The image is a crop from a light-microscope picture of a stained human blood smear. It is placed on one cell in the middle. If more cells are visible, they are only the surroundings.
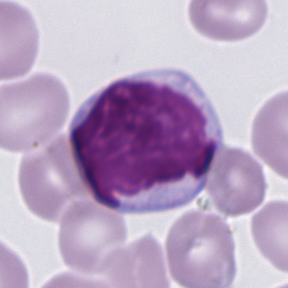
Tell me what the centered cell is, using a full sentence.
The cell in the exact centre of the crop is a large granular lymphocyte.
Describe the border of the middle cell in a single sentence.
Worth noting that the cell border is smooth and lacks projections.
